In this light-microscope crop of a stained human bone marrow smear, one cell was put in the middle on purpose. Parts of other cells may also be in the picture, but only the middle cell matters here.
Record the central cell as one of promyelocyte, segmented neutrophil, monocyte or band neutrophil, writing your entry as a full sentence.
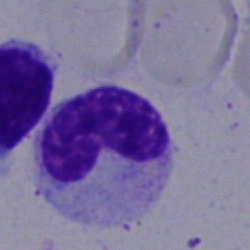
The cell in the middle of this crop is a band neutrophil.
